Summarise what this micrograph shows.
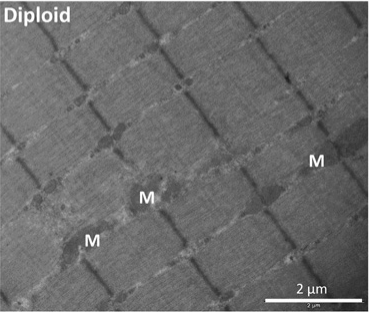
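This is skeletal muscle seen with the electron microscope, a muscle fibre cut lengthwise so its myofibrils run diagonally across the field. The myofibrils are crossed at regular intervals by thin dark lines, so that the field looks like an evenly spaced lattice of repeating units, the sarcomeres. Between the myofibrils, small dark mitochondria sit at the level of these cross lines, some as single dots and some as larger dark patches. These are labelled M. They are dense and compact, with no pale, swollen or empty-looking profiles among them, and the striated pattern is orderly throughout.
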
